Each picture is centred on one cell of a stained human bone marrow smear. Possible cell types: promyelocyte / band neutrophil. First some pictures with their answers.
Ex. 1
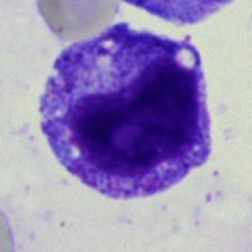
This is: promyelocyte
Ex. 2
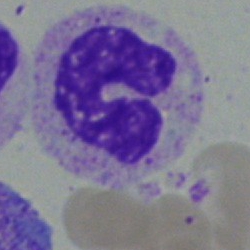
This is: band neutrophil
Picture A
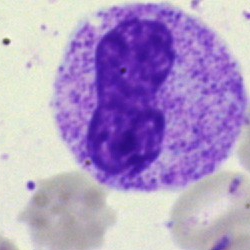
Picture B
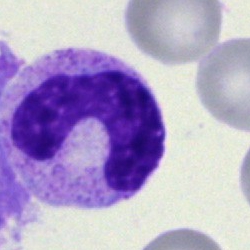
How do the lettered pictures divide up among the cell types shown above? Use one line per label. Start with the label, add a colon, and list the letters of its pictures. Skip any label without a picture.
band neutrophil: A, B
